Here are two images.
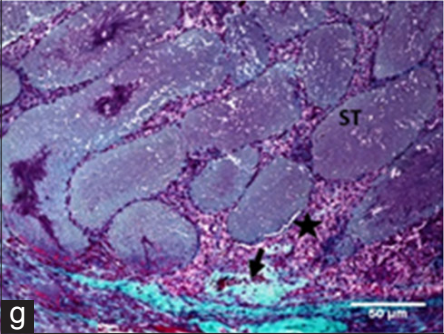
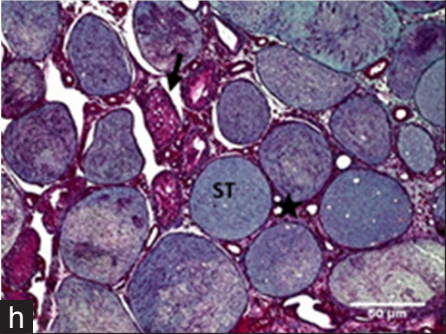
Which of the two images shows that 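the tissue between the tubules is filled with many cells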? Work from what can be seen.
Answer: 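The first image. Second image: the spaces between the round tubules are narrow or empty, with few cells. First image: broad areas between the tubules are packed with scattered cells.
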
